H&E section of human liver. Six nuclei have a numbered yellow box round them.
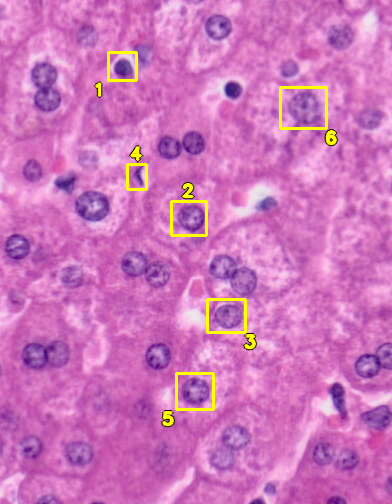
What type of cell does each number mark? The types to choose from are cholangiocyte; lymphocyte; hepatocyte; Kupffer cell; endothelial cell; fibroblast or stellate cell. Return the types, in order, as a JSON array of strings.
["lymphocyte", "hepatocyte", "hepatocyte", "endothelial cell", "hepatocyte", "hepatocyte"]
